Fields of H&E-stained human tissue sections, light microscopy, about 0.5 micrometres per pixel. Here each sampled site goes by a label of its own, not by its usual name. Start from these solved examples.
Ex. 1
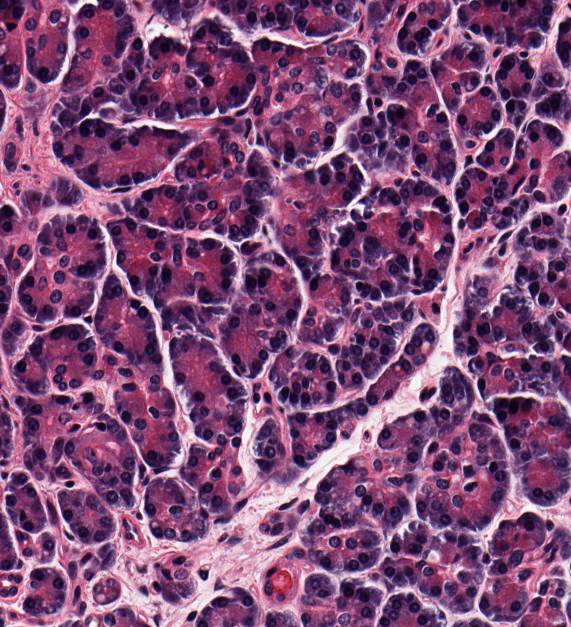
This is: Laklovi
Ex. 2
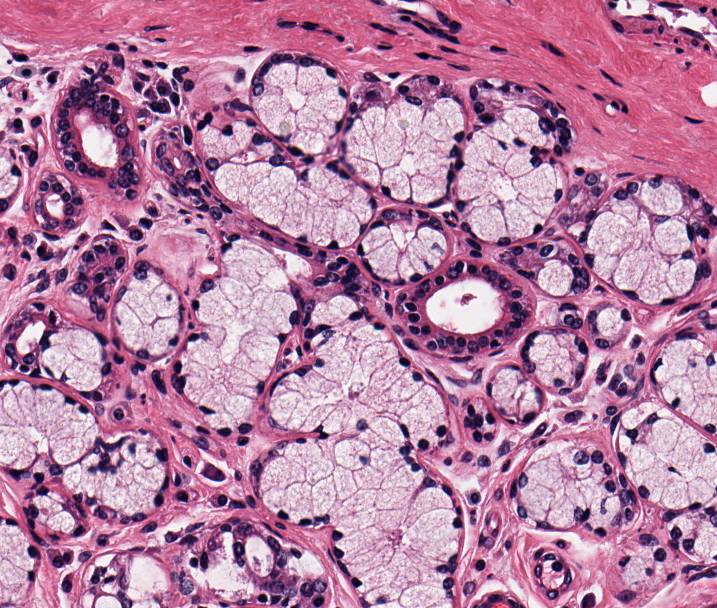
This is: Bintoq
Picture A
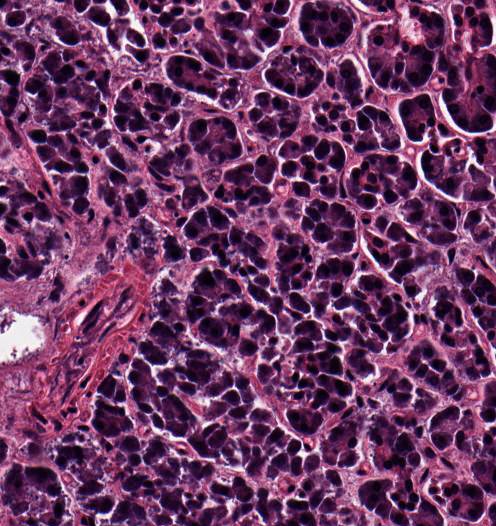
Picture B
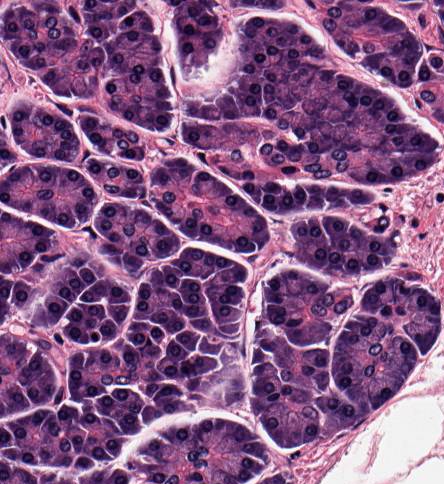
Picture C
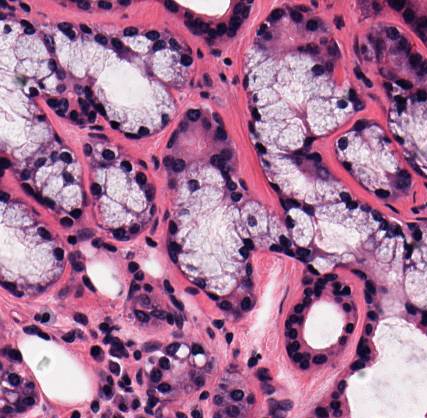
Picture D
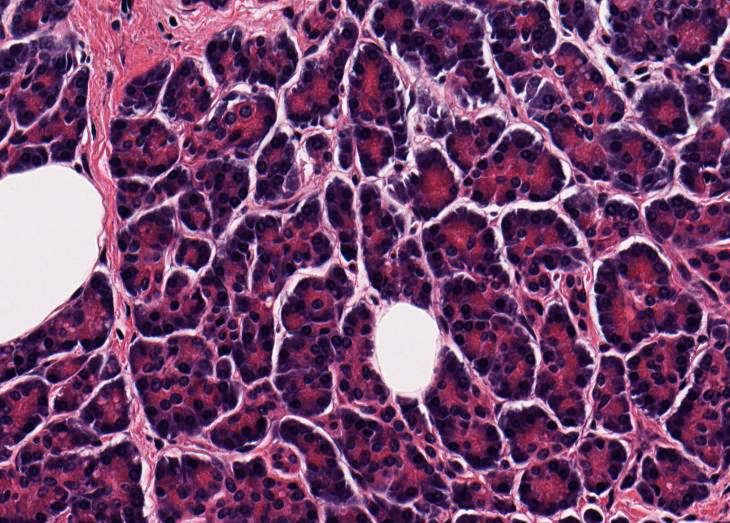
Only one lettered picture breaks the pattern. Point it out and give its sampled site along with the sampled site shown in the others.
C: Bintoq; all the others: Laklovi.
